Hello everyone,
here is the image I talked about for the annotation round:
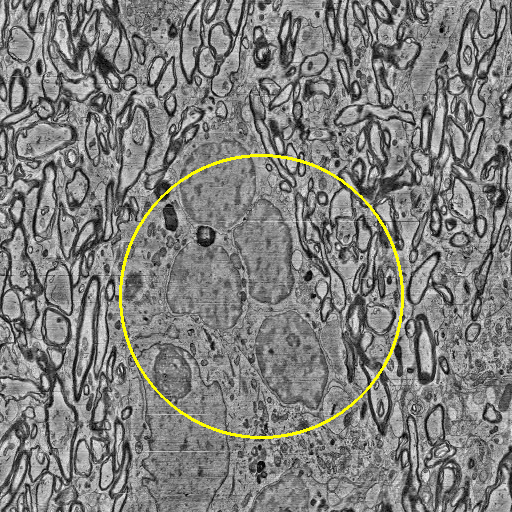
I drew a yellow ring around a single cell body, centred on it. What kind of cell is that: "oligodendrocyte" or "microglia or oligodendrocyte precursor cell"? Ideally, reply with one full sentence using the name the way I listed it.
The cell your yellow ring is centred on is an oligodendrocyte, going by your list.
